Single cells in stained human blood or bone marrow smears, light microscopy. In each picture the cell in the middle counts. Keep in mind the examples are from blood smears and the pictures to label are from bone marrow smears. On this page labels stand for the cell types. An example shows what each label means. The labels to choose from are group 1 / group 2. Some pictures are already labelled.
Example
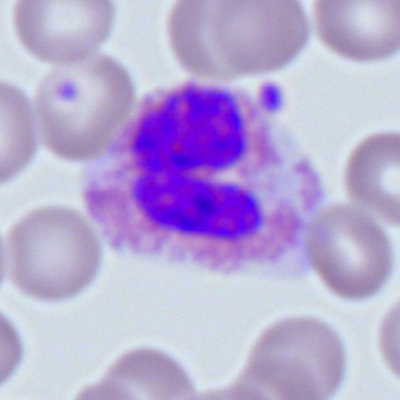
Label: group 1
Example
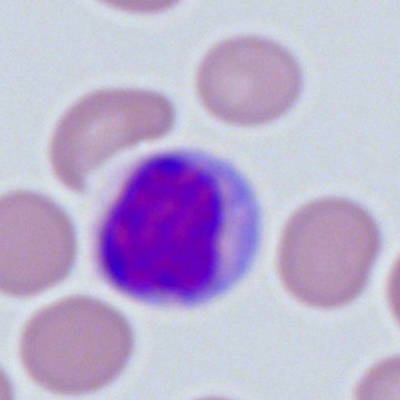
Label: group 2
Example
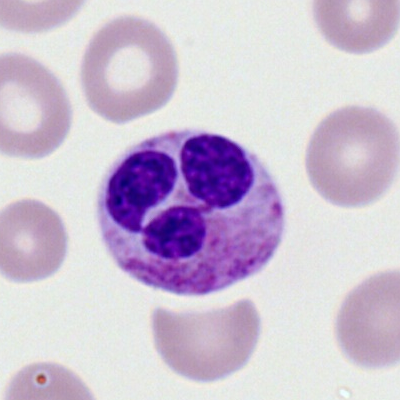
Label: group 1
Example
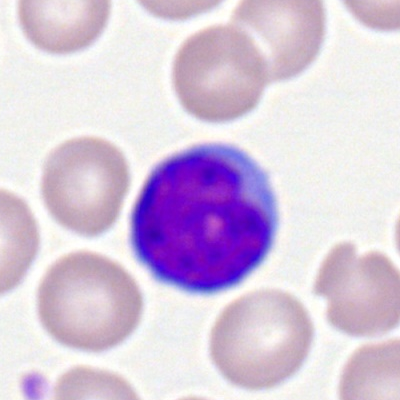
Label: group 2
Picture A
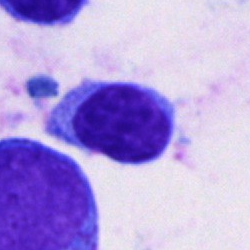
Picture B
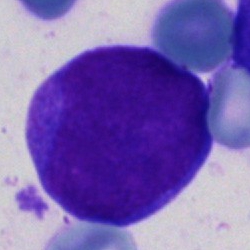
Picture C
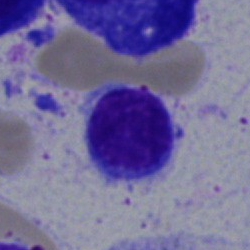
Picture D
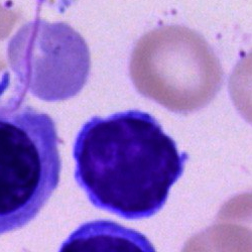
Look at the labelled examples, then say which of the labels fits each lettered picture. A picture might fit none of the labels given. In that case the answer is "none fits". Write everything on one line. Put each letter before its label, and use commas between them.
A group 2, B none fits, C group 2, D group 2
